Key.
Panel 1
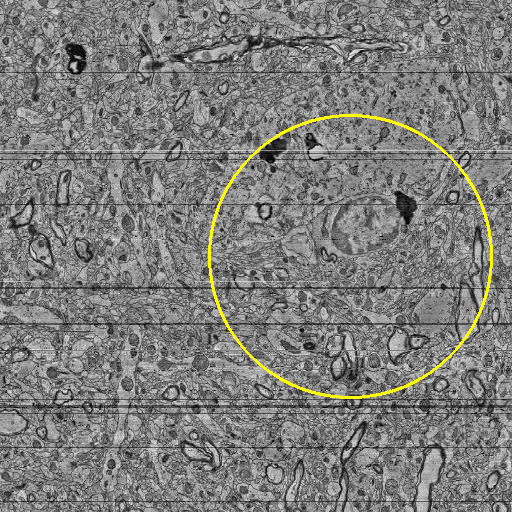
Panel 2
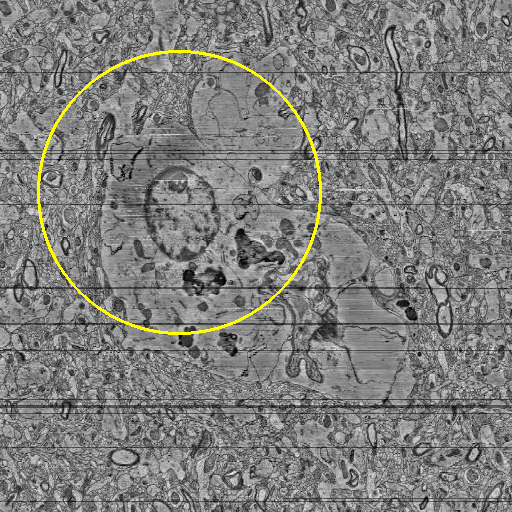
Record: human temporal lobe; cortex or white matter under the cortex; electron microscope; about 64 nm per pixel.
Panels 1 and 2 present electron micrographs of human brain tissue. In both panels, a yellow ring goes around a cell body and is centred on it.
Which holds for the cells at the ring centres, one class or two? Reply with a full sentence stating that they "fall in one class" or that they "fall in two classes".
Taken together, the ring-centre cells of the two panels fall in two classes.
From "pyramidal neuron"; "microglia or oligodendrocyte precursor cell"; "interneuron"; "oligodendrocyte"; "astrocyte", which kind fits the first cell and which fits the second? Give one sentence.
The cell marked in the first picture is an oligodendrocyte, and the one marked in the second is an astrocyte.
